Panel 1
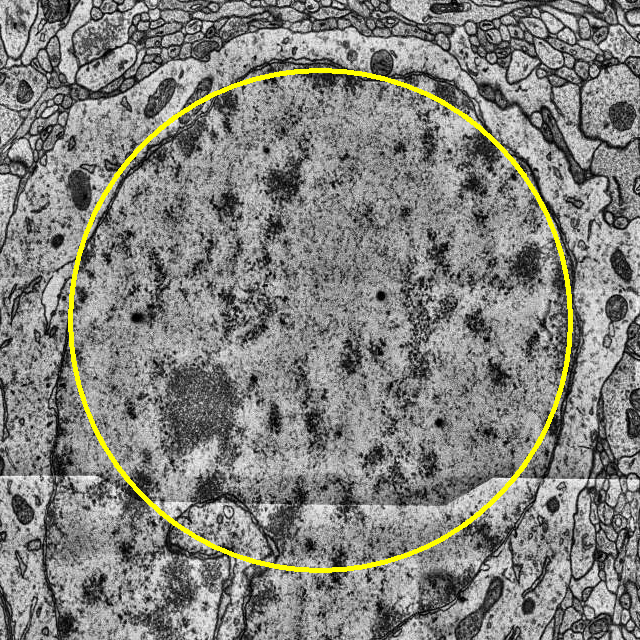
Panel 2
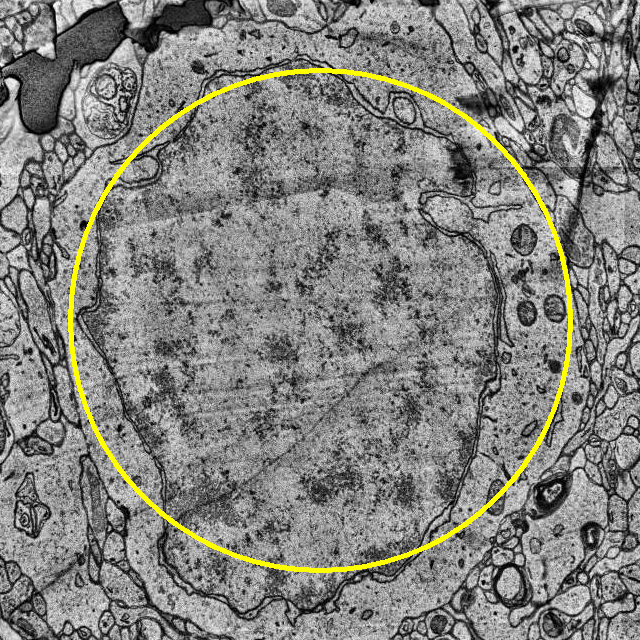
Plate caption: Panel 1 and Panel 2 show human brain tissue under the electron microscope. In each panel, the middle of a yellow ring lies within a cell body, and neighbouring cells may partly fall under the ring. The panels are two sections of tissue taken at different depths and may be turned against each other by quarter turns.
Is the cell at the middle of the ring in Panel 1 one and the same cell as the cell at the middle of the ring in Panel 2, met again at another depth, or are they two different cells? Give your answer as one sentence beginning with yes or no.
No, two cells, not one, are marked by the yellow rings.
